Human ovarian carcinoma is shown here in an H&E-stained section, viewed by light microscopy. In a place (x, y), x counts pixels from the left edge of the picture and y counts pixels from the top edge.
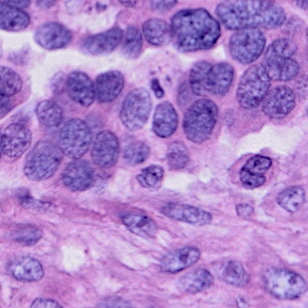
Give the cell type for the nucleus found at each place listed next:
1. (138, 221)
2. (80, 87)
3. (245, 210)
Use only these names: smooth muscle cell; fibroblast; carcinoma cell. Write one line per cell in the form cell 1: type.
cell 1: fibroblast
cell 2: carcinoma cell
cell 3: fibroblast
